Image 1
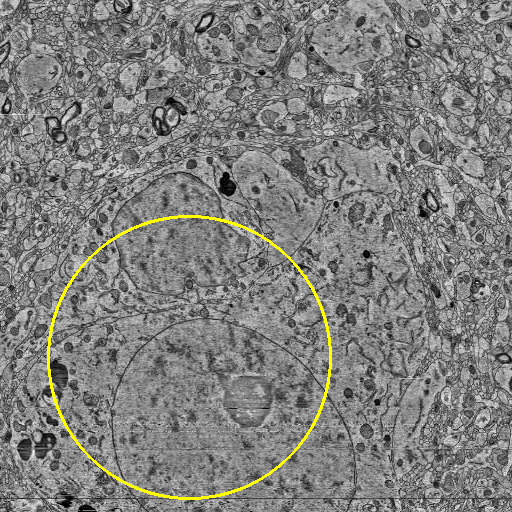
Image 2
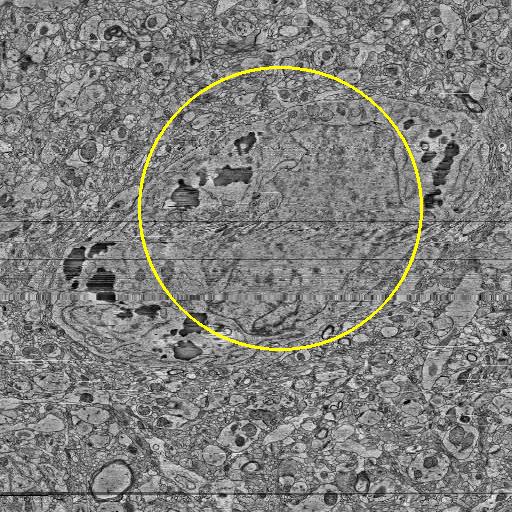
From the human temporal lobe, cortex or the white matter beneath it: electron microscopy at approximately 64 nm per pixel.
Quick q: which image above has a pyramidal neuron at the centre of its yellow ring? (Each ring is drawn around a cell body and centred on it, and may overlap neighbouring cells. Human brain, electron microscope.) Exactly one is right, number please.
1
